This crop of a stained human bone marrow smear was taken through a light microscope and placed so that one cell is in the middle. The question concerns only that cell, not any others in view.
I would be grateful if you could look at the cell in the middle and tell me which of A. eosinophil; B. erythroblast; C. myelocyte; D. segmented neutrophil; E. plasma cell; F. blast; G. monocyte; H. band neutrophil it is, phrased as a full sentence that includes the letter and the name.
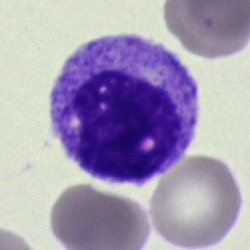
Option C correctly names the cell in the middle as a myelocyte.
